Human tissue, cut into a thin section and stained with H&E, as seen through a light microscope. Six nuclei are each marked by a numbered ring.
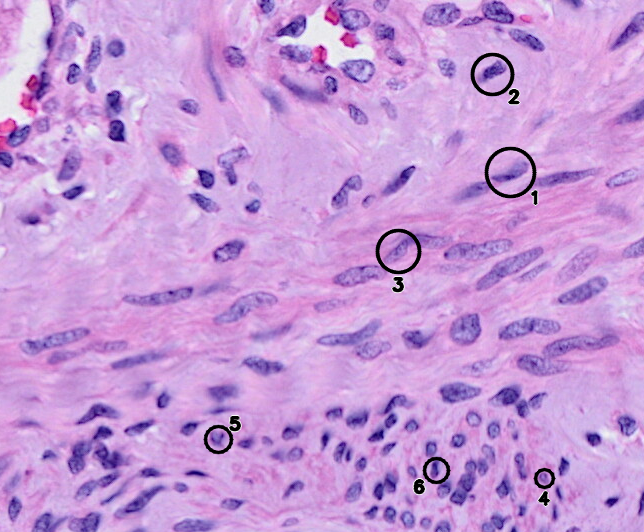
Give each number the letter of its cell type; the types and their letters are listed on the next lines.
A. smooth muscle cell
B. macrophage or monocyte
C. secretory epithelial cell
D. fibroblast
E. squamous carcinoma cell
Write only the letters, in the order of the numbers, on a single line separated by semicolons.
D; D; A; A; A; A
